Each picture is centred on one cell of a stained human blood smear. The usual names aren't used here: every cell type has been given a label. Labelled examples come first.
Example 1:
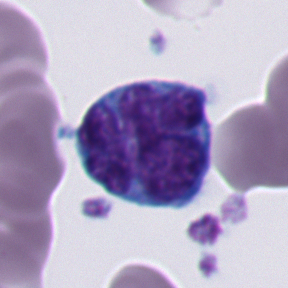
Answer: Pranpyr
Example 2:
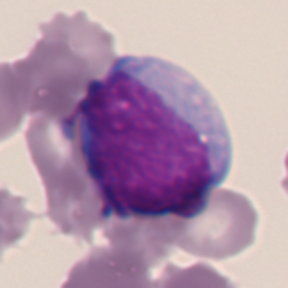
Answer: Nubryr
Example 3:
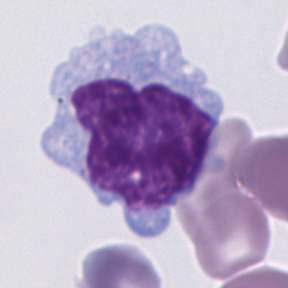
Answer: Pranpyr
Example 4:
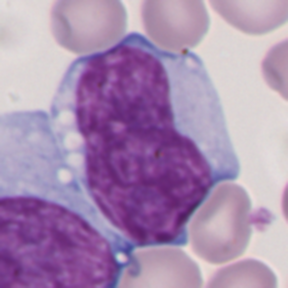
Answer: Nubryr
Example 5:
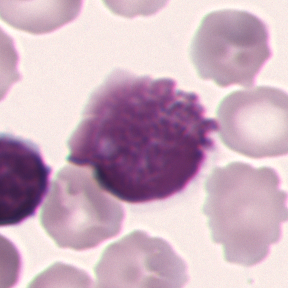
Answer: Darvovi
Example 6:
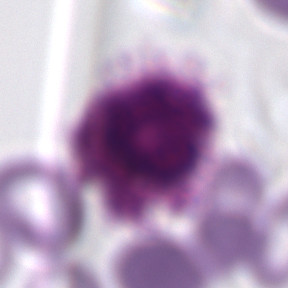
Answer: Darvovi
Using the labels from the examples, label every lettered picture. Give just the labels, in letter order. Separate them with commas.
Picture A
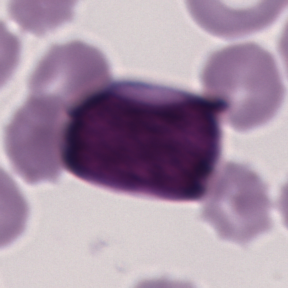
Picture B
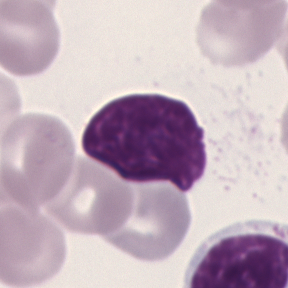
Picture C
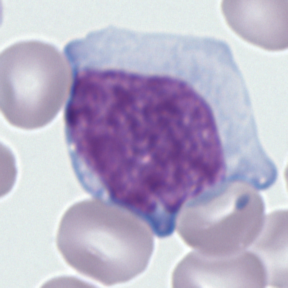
Nubryr, Darvovi, Nubryr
